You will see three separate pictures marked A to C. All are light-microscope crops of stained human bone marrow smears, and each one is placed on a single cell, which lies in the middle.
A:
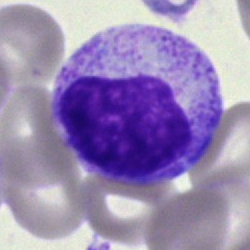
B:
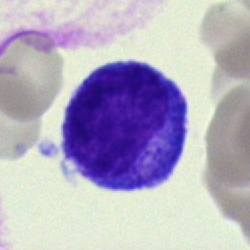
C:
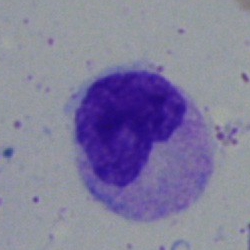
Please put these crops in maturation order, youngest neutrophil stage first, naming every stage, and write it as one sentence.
The sequence in which maturity rises is crop B (a promyelocyte), crop A (a myelocyte) and crop C (a metamyelocyte).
